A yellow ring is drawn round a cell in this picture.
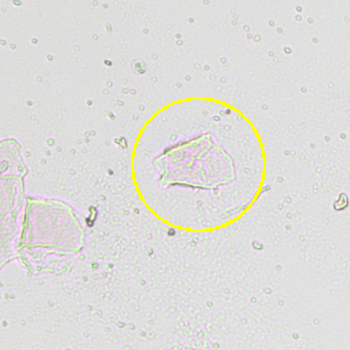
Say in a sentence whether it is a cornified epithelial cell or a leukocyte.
The cell in the ring is a cornified epithelial cell.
